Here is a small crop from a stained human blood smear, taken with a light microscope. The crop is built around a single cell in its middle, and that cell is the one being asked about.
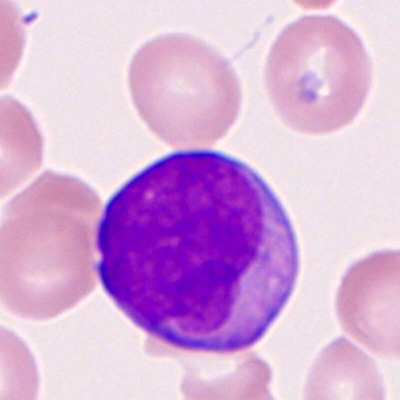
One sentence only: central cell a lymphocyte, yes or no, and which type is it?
No, what lies at the heart of the crop is a blast, not a lymphocyte.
